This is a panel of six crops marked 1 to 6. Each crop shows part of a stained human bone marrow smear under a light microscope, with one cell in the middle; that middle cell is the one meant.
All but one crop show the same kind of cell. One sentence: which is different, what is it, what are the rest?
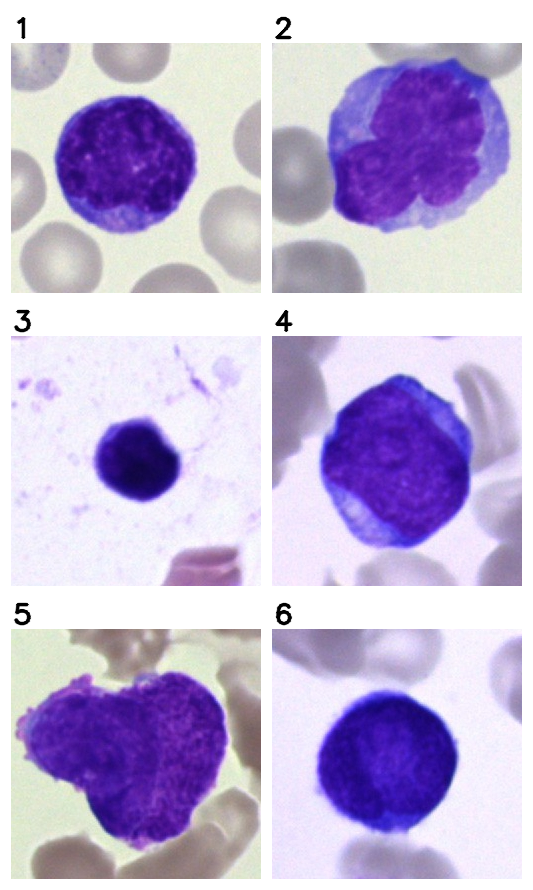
Just crop 3 is a lymphocyte; all the other crops show blasts.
